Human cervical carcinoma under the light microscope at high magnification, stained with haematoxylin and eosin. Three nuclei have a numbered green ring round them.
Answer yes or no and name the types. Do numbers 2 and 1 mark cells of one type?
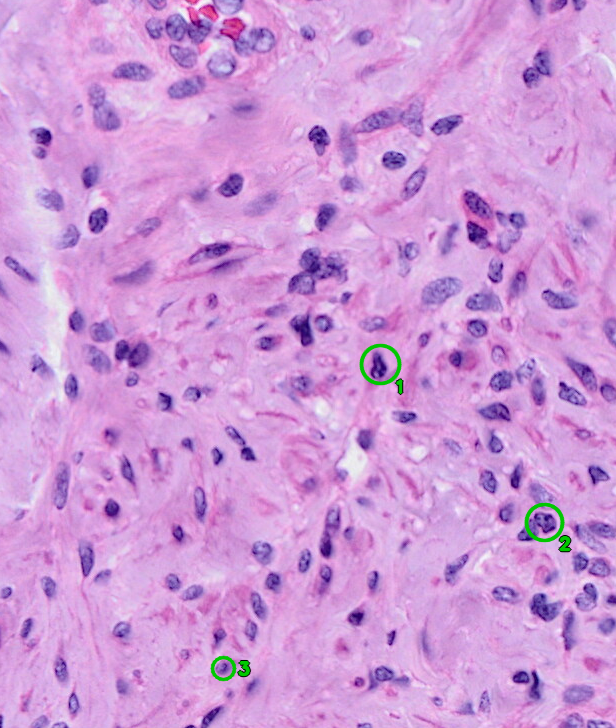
Yes, both are lymphocytes.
